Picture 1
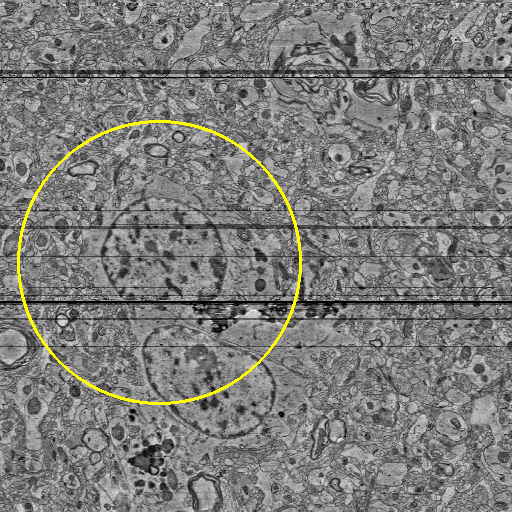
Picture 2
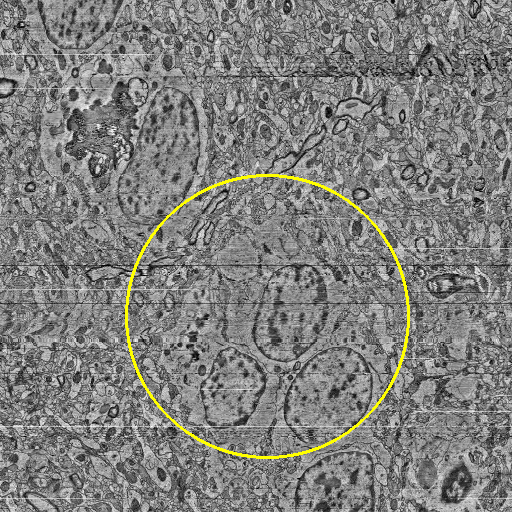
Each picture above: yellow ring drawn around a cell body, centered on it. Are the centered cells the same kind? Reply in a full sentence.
Yes, the two cells are the same kind.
